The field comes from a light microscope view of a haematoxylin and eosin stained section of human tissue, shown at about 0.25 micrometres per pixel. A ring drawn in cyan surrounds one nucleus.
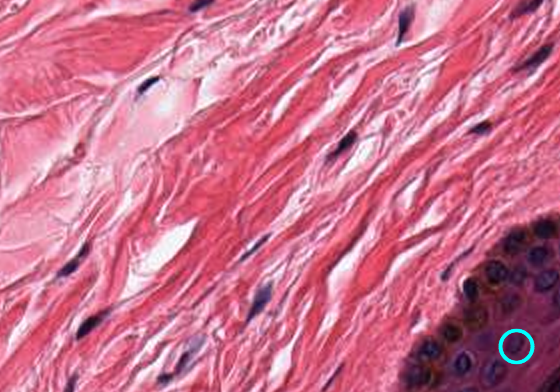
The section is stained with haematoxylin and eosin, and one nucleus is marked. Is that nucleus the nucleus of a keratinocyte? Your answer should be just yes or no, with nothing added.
yes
